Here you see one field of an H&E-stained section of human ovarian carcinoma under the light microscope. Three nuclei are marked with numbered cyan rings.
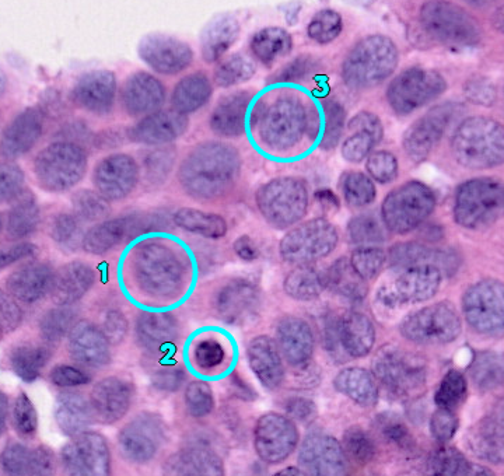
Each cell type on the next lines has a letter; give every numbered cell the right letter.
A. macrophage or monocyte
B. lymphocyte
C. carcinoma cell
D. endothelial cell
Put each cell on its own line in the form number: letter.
1: C
2: B
3: C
